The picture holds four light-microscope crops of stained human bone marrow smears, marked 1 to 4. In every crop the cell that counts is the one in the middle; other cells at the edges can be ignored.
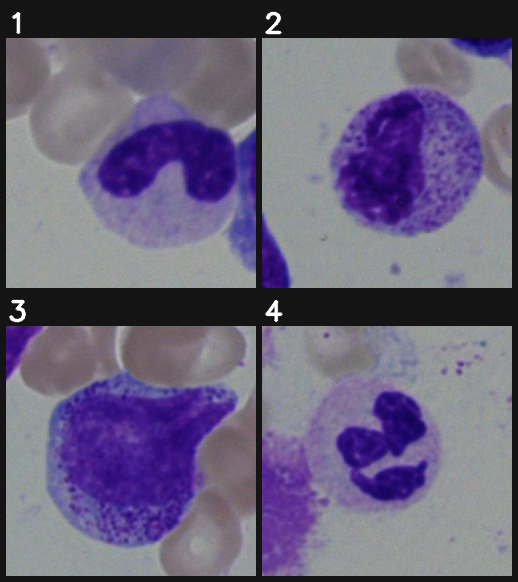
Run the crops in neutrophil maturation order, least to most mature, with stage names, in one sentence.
Beginning with the least mature, the order is crop 3 (a myelocyte), crop 2 (a metamyelocyte), crop 1 (a band neutrophil) and crop 4 (a segmented neutrophil).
